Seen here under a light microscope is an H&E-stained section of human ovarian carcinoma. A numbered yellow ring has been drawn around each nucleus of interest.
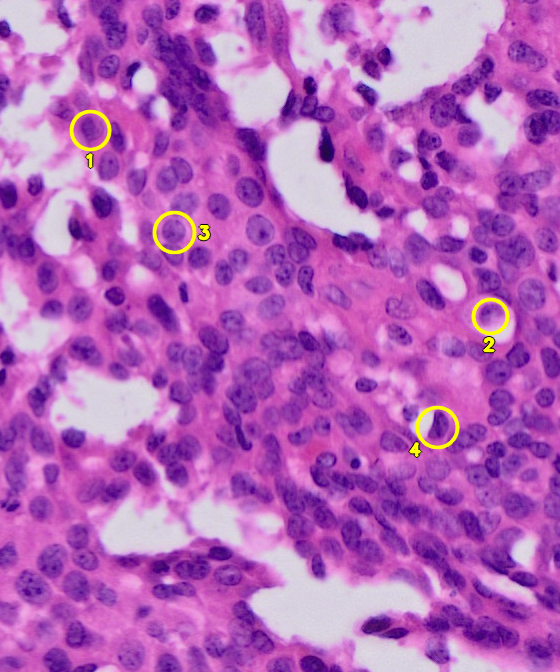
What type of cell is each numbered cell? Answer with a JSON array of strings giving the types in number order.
["carcinoma cell", "macrophage or monocyte", "carcinoma cell", "carcinoma cell"]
